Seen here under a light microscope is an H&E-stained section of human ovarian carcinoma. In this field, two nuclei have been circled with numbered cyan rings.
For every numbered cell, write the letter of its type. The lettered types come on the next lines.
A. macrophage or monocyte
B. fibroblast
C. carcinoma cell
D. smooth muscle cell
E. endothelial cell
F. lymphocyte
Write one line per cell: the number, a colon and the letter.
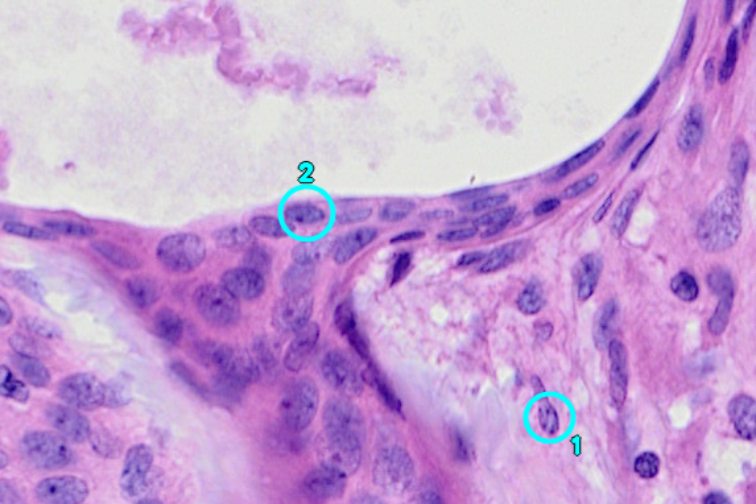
1: A
2: C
